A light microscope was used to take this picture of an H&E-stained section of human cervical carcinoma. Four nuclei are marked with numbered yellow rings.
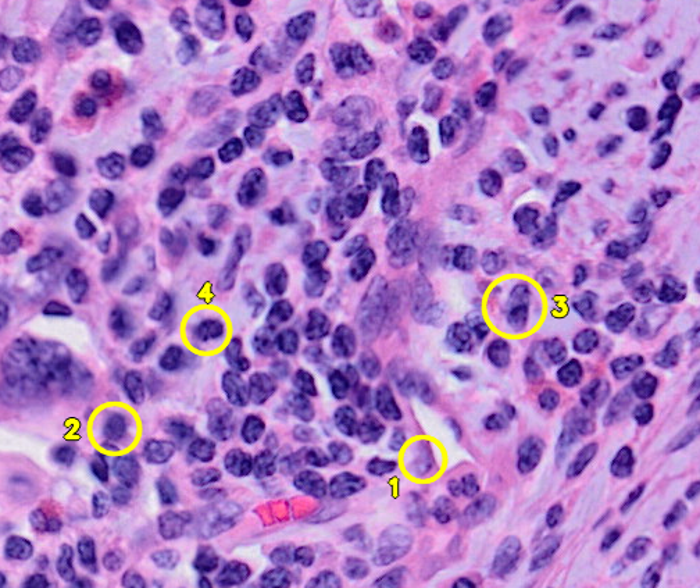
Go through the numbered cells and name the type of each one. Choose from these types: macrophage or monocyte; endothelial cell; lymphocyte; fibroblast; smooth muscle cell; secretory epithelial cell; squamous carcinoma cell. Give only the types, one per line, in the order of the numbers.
endothelial cell
lymphocyte
lymphocyte
lymphocyte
